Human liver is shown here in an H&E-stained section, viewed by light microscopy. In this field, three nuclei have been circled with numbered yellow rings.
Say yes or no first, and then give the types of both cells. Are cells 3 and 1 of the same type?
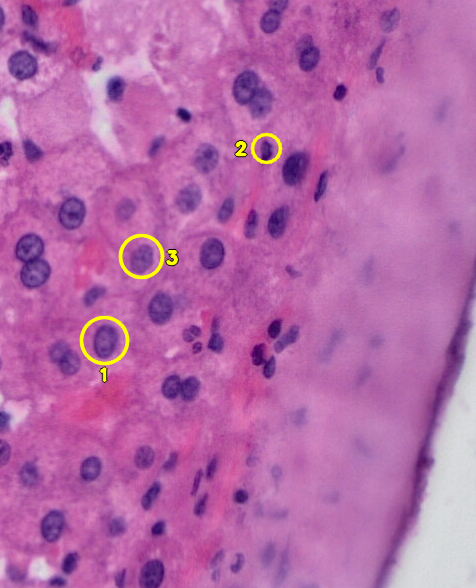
Yes, cell 3 and cell 1 are both hepatocytes.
